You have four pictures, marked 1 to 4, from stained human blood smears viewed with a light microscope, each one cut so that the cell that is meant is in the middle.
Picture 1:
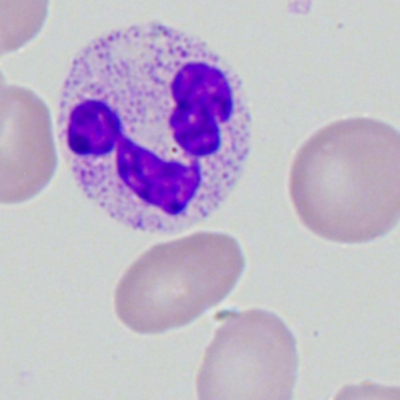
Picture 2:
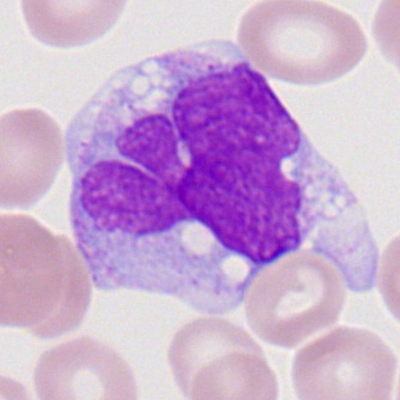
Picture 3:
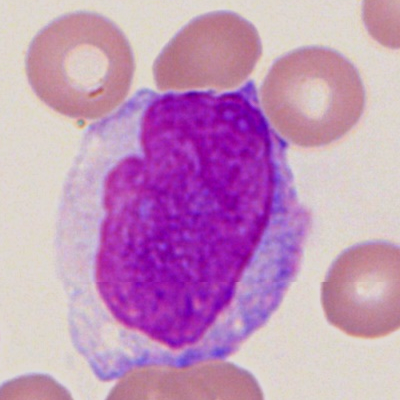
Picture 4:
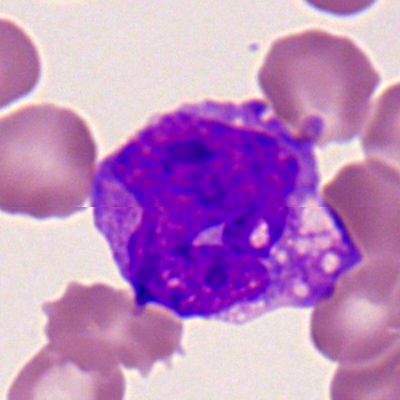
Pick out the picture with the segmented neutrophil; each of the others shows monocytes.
1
